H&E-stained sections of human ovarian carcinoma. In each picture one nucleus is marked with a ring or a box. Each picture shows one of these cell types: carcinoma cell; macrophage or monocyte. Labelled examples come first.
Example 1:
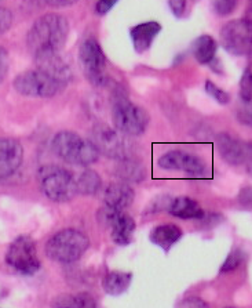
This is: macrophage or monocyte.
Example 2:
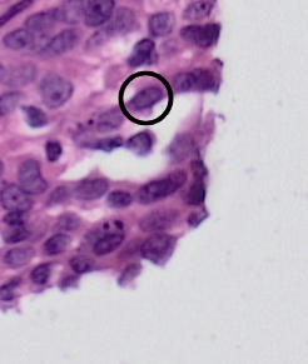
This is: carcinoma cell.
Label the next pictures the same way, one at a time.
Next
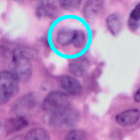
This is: macrophage or monocyte.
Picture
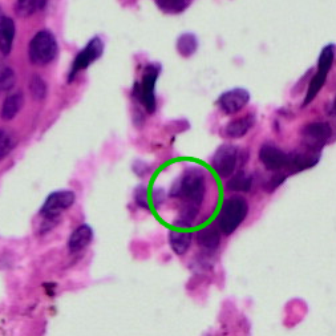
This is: carcinoma cell.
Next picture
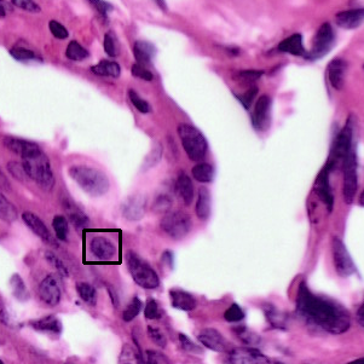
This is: macrophage or monocyte.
